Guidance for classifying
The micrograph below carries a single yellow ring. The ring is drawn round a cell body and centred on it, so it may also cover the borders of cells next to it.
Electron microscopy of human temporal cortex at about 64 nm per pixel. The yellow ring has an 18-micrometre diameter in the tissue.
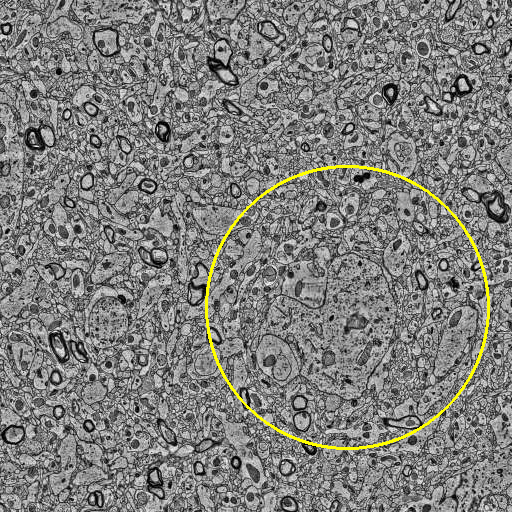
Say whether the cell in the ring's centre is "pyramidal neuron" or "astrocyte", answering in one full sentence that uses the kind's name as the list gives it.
Within the yellow ring, a pyramidal neuron is the cell whose body sits at the centre.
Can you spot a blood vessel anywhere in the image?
No, no blood vessel shows in the picture.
